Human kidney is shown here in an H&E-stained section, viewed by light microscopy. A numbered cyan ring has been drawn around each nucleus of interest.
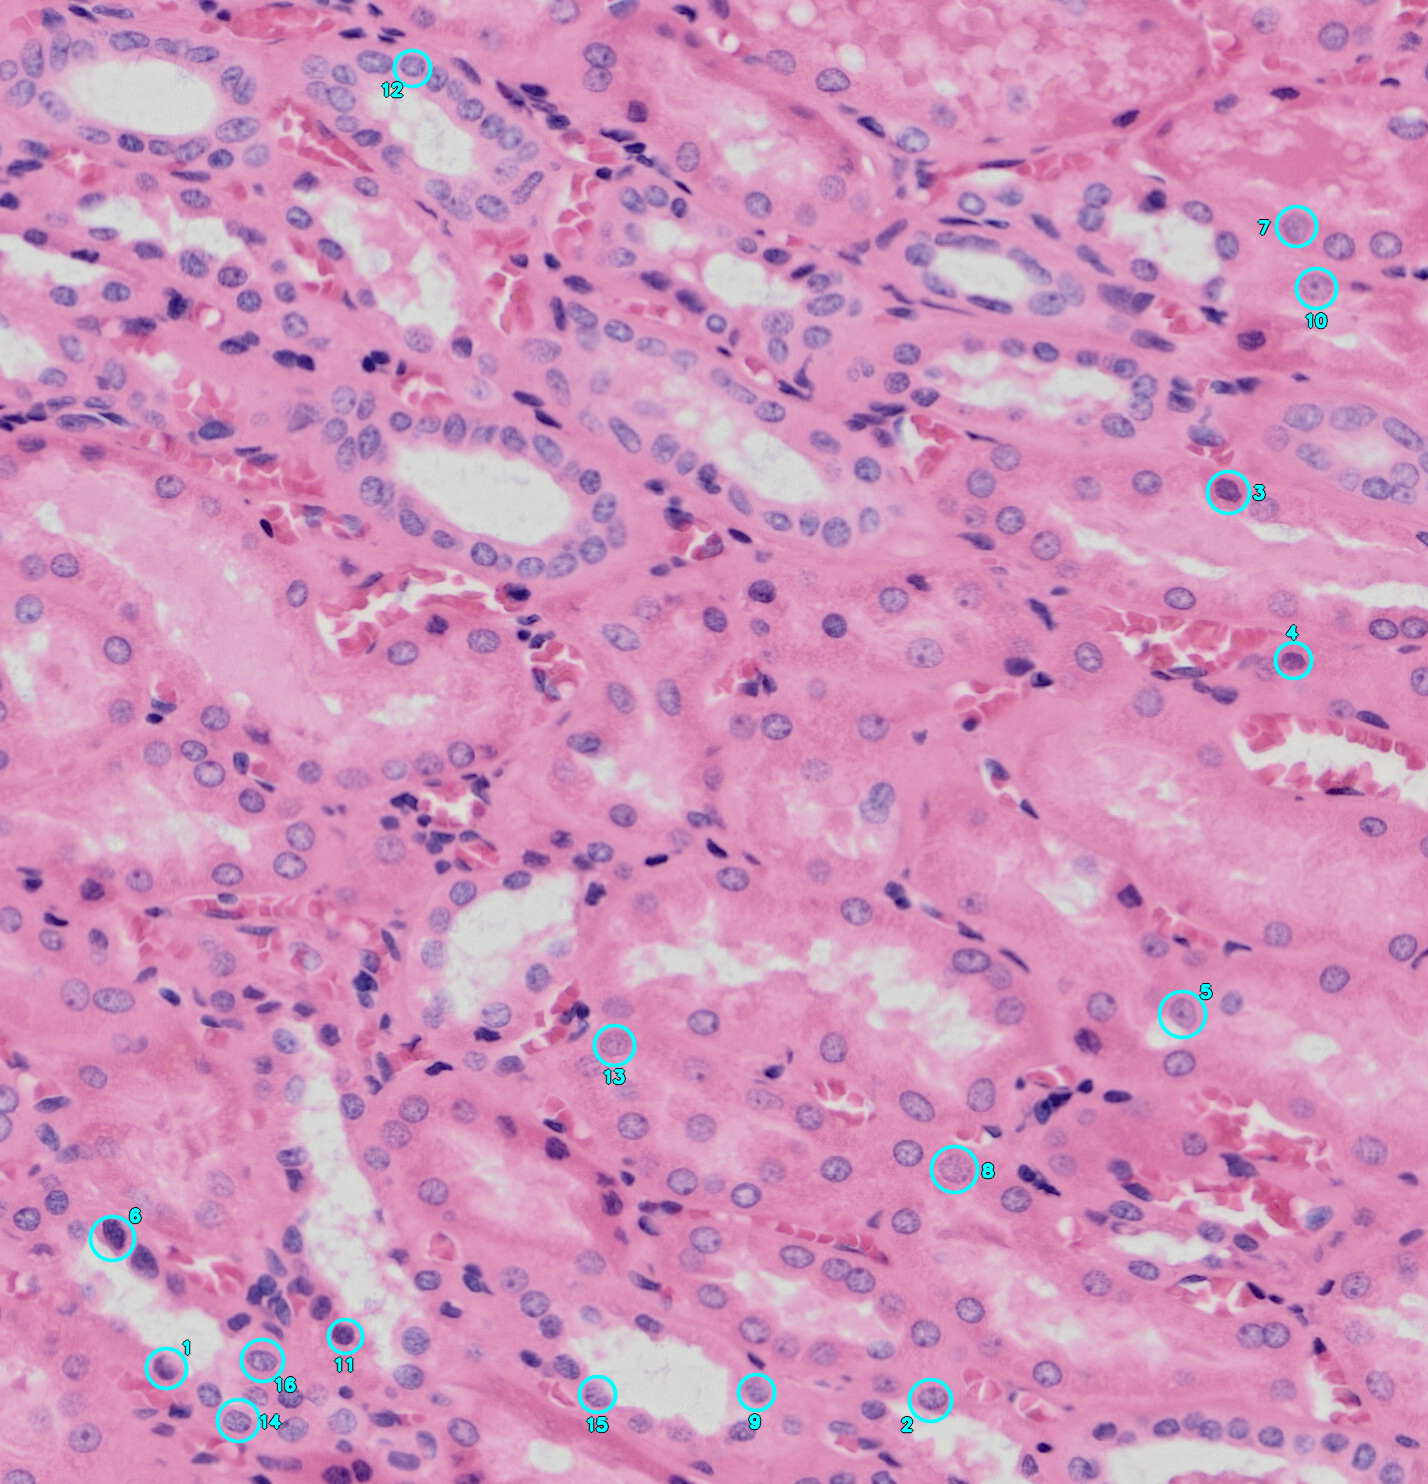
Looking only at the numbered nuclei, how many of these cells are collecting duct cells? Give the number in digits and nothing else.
1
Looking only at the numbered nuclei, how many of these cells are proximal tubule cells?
7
